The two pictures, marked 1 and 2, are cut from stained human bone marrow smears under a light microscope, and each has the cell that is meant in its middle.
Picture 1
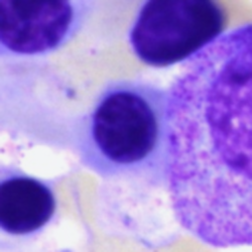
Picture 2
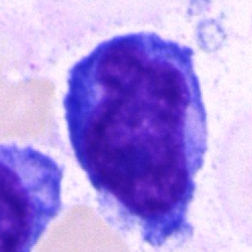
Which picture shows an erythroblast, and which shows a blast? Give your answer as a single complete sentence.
Picture 1 shows an erythroblast and picture 2 shows a blast.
